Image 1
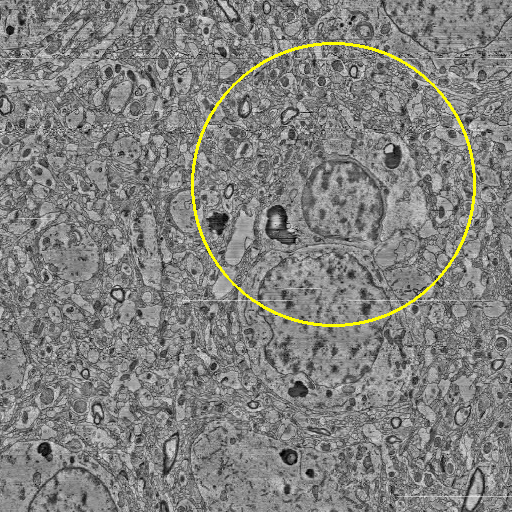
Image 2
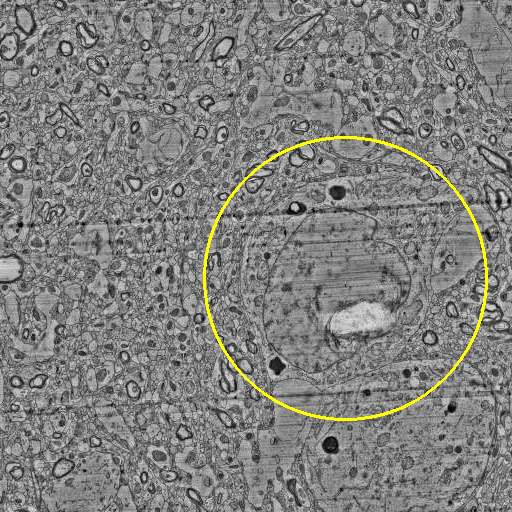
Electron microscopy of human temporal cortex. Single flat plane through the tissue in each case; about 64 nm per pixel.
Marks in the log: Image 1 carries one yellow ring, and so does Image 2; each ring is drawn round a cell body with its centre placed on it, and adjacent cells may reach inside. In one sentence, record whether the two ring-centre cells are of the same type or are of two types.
The two cells at the ring centres, one in each image, are of two types.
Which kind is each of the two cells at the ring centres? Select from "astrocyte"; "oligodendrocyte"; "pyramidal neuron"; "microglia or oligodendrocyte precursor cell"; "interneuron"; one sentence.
The cell at the centre of the ring is an oligodendrocyte in the first picture and a pyramidal neuron in the second.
